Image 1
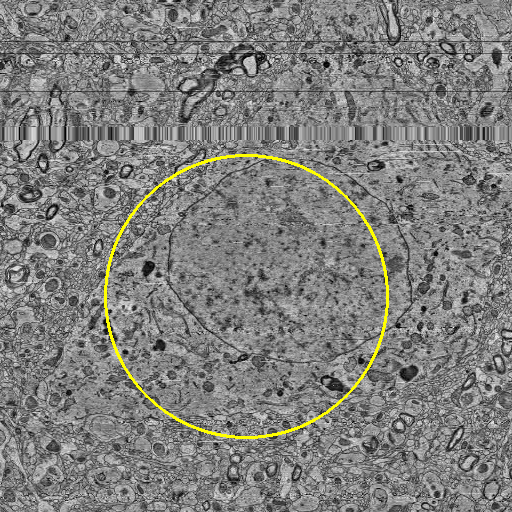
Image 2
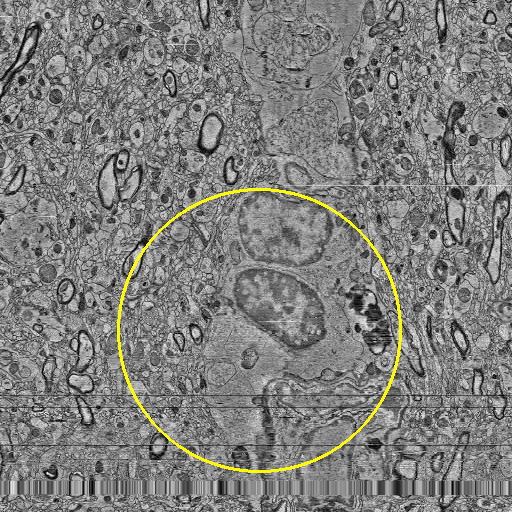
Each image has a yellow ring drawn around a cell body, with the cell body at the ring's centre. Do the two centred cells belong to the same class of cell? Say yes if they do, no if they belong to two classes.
no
